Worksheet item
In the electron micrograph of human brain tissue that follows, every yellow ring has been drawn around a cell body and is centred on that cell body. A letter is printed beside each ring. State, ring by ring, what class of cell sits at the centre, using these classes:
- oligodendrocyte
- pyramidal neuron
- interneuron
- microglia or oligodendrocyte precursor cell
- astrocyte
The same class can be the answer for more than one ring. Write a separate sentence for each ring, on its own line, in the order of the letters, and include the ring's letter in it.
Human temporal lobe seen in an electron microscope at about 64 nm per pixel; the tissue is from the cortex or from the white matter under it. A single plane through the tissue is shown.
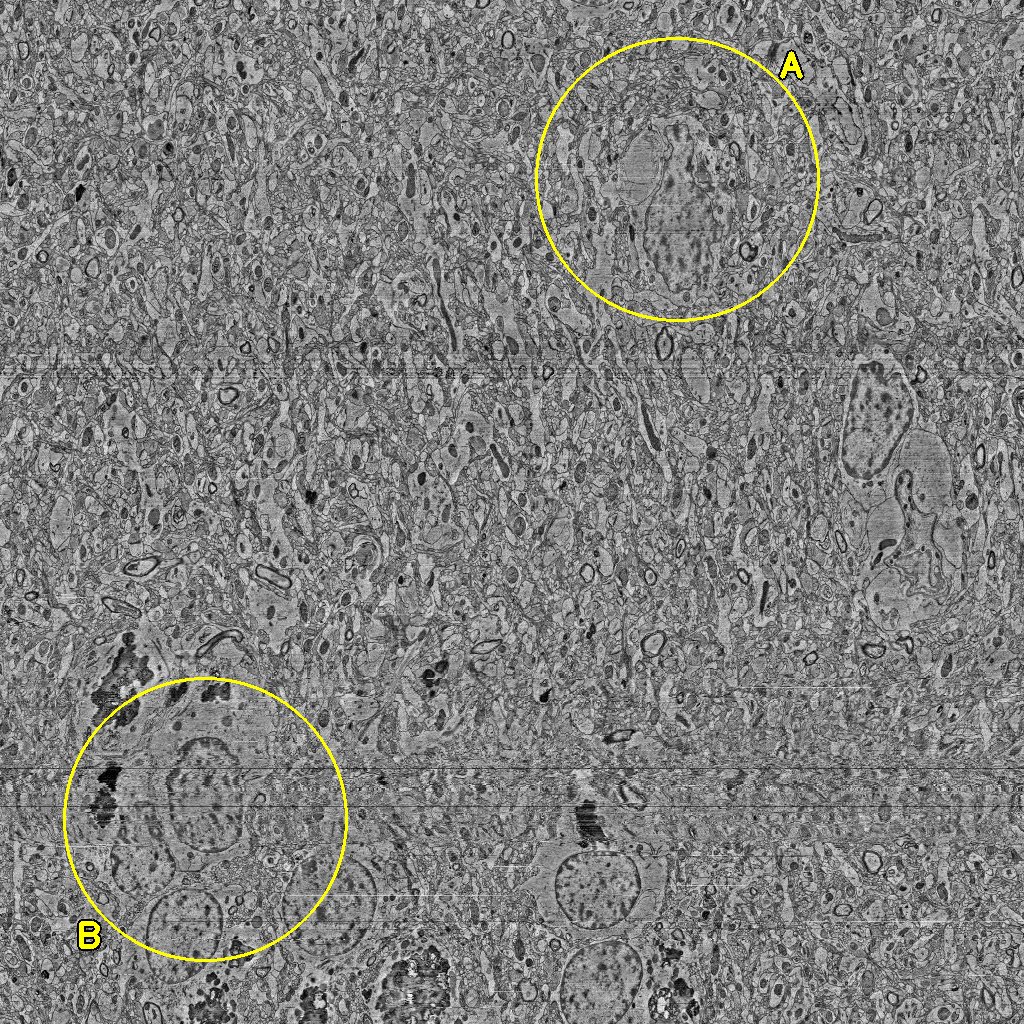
At the centre of ring A sits an interneuron.
At the centre of ring B sits an astrocyte.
